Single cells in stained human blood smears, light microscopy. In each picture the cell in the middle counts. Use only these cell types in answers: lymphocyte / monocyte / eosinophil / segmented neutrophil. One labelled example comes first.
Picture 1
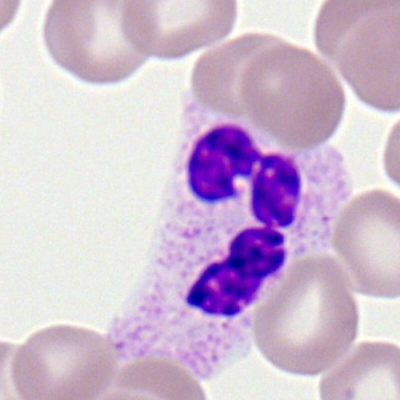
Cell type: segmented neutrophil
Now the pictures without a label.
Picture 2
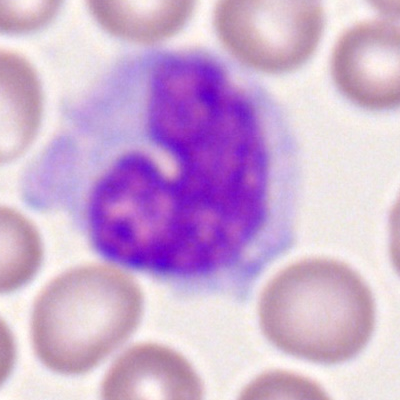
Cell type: monocyte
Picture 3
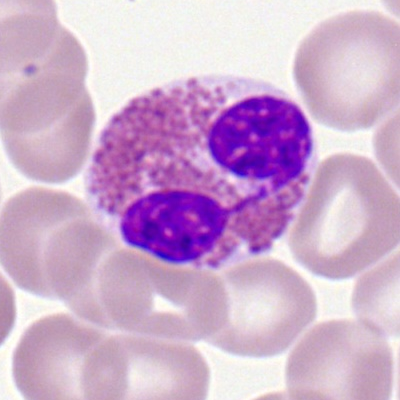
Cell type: eosinophil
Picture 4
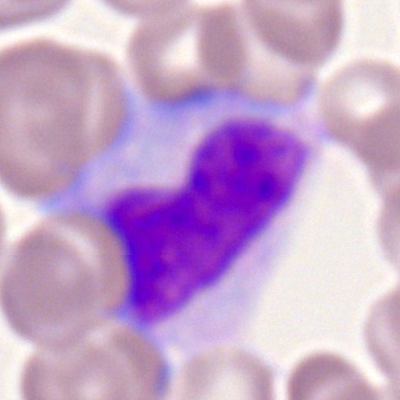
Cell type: monocyte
